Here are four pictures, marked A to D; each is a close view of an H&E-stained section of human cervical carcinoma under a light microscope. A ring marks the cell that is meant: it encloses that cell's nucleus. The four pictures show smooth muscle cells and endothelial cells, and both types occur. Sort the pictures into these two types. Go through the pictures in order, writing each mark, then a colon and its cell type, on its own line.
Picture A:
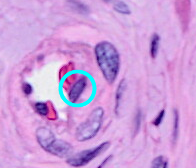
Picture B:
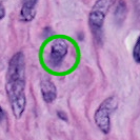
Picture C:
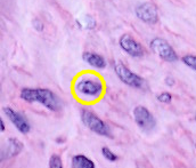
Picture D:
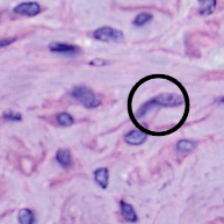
A: endothelial cell
B: smooth muscle cell
C: smooth muscle cell
D: smooth muscle cell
